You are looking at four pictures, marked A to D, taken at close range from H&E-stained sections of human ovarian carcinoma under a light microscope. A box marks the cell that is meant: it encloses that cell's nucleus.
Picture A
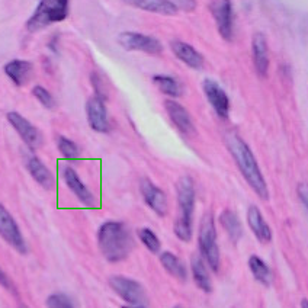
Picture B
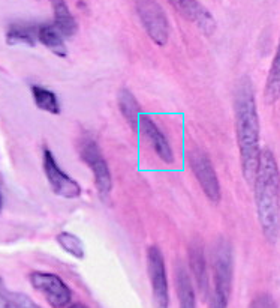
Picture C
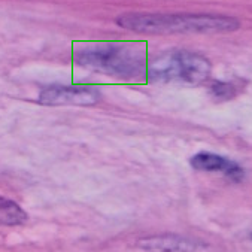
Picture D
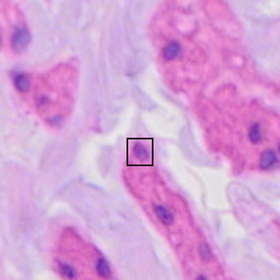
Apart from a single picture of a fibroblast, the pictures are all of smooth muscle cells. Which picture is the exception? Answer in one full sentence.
Picture C is the one that shows the fibroblast.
